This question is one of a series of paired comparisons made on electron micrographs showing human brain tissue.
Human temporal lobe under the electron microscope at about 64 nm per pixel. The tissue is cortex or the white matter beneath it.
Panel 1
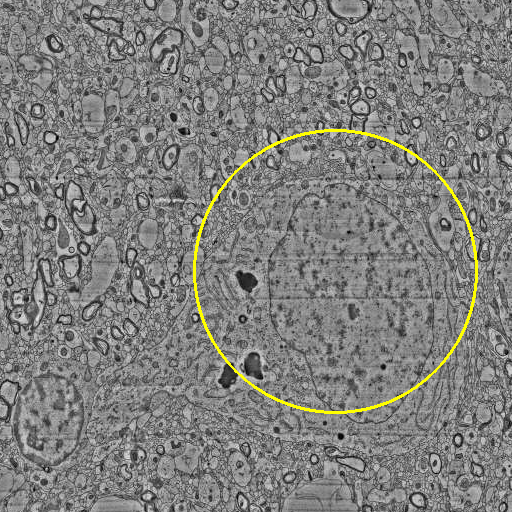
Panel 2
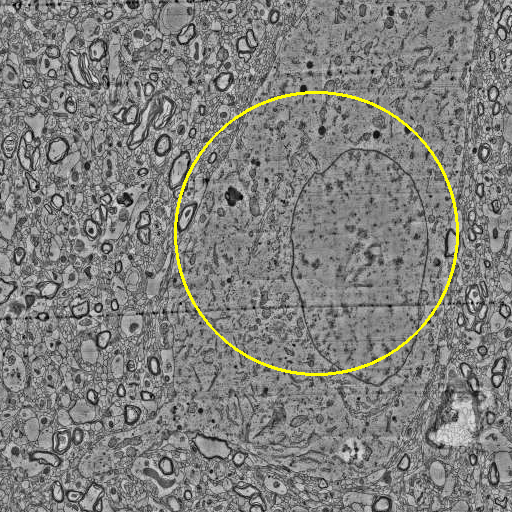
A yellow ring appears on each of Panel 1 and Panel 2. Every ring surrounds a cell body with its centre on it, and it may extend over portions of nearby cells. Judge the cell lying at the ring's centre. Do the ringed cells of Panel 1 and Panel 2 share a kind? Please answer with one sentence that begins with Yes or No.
Yes, the ring-centre cell in Panel 1 and the one in Panel 2 are of one kind.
